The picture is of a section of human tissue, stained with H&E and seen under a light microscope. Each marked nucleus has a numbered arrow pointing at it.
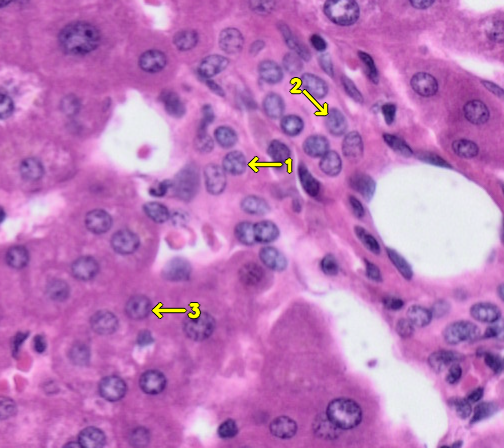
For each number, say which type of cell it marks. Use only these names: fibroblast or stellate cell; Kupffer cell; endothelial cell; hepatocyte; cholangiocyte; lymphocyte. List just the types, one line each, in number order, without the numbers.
cholangiocyte
cholangiocyte
hepatocyte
